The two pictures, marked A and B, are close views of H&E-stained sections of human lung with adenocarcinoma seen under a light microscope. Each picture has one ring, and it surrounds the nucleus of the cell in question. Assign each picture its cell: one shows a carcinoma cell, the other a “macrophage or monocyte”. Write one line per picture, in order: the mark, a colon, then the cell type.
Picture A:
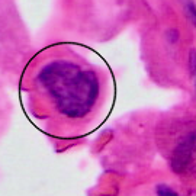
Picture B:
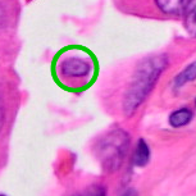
A: carcinoma cell
B: macrophage or monocyte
